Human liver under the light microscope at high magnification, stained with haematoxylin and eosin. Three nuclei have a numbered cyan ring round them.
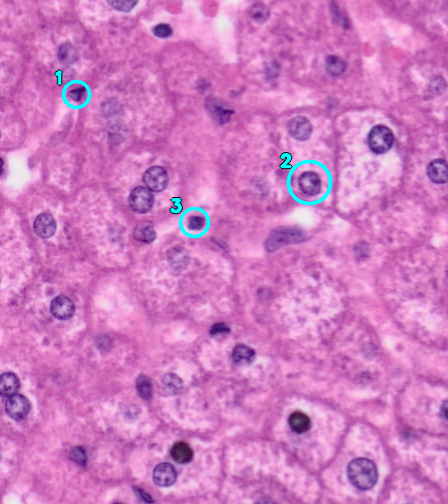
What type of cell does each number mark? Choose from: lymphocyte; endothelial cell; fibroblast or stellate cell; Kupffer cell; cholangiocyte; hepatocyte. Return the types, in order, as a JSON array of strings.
["fibroblast or stellate cell", "hepatocyte", "lymphocyte"]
